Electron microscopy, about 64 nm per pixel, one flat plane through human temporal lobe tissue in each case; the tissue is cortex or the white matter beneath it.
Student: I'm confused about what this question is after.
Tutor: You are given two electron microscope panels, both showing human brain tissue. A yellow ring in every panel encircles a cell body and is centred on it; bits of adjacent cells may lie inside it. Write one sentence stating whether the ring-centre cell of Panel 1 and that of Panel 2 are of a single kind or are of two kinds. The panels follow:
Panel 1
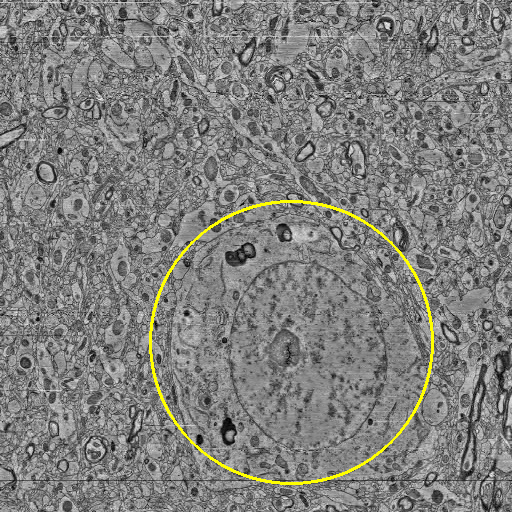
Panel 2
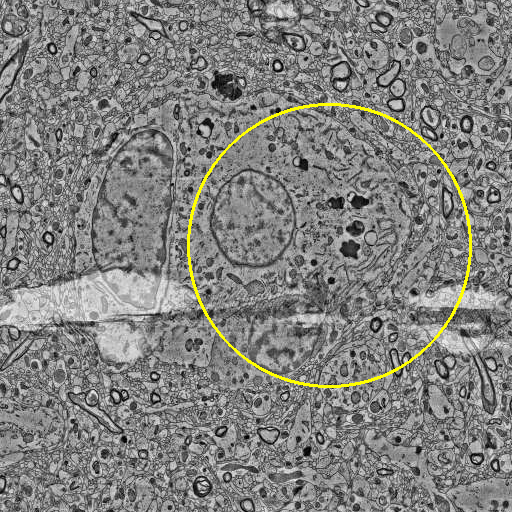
Here, the Panel 1 ring-centre cell and the Panel 2 ring-centre cell are of two kinds.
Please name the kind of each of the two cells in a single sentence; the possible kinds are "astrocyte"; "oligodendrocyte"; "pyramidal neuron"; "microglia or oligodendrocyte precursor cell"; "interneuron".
In the first picture the ring is centred on a pyramidal neuron, and in the second on an oligodendrocyte.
